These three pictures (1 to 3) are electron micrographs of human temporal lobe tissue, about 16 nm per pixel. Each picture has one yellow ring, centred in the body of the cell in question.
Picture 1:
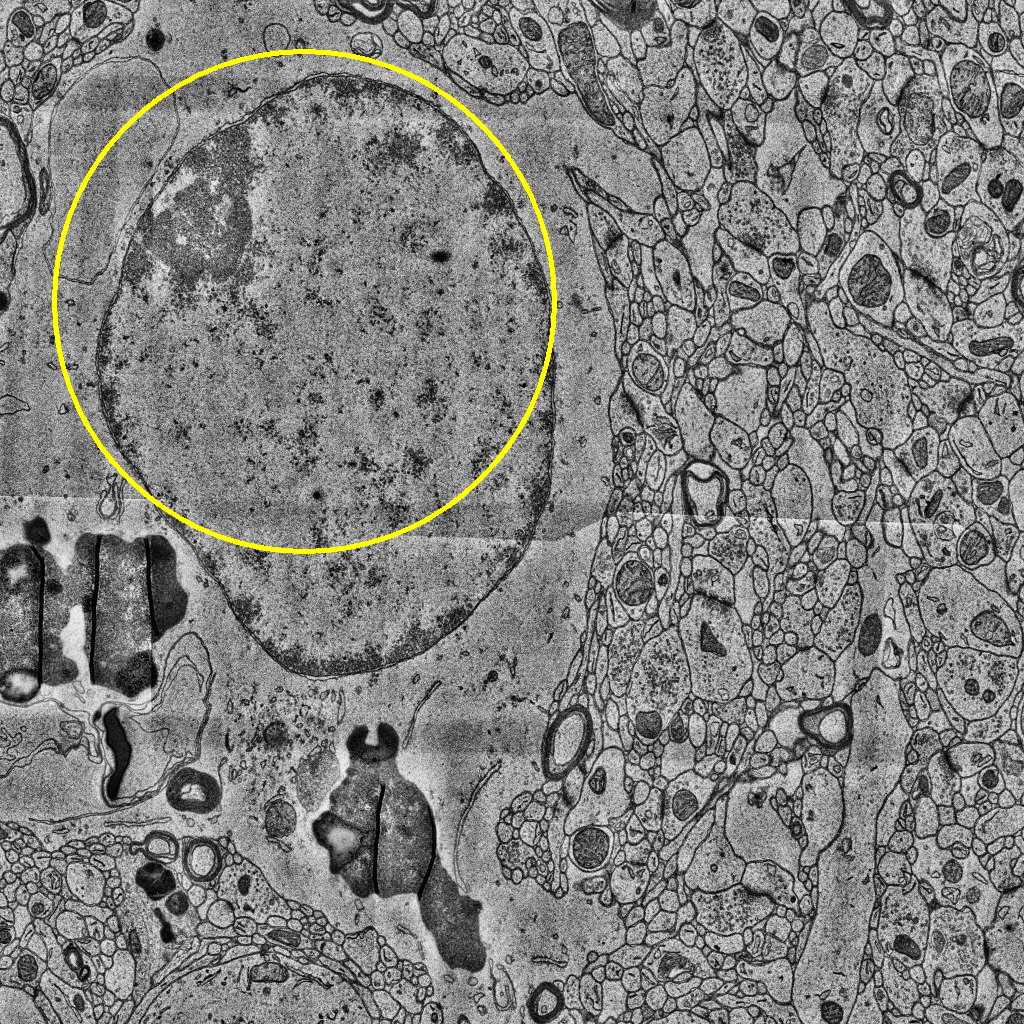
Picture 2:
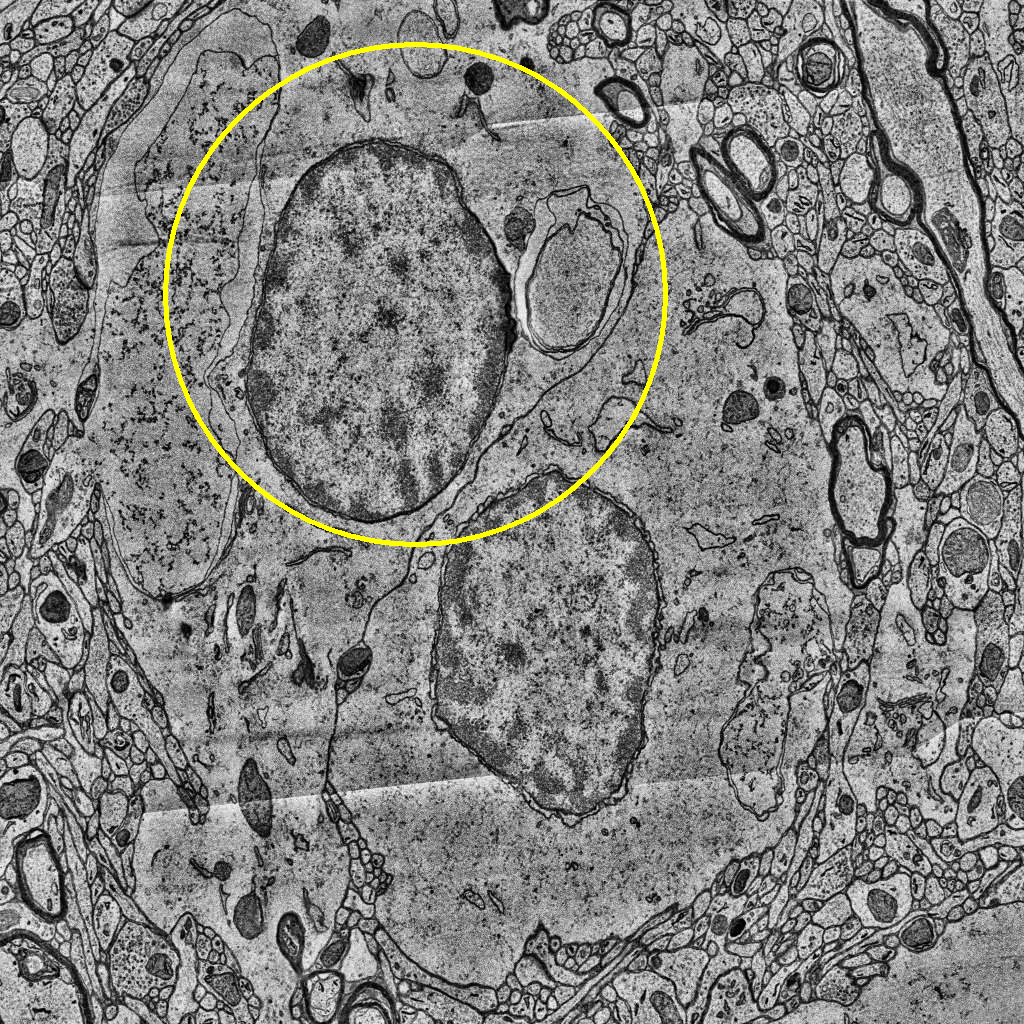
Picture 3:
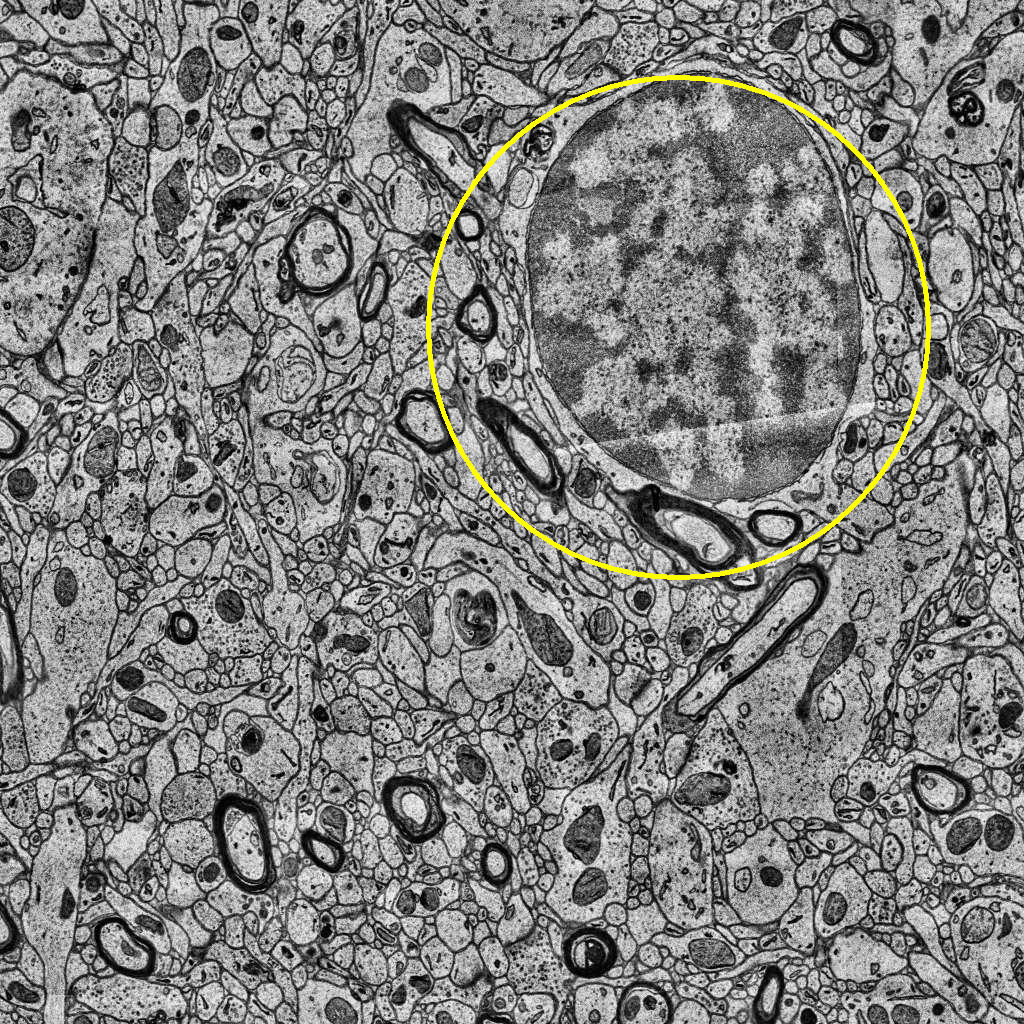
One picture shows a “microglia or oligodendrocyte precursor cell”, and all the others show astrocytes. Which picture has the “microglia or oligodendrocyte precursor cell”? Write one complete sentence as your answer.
The picture with the “microglia or oligodendrocyte precursor cell” is 3.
